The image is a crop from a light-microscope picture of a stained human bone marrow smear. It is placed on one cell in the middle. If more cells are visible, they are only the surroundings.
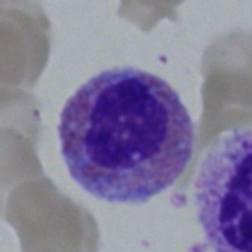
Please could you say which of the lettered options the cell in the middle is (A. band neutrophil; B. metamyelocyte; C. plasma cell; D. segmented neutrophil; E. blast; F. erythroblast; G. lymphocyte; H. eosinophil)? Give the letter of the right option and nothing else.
H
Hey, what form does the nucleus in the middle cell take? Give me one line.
Have a look at the nucleus, which is one compact mass, round, oval or kidney-shaped.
